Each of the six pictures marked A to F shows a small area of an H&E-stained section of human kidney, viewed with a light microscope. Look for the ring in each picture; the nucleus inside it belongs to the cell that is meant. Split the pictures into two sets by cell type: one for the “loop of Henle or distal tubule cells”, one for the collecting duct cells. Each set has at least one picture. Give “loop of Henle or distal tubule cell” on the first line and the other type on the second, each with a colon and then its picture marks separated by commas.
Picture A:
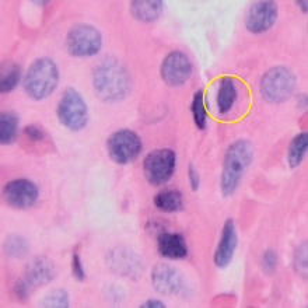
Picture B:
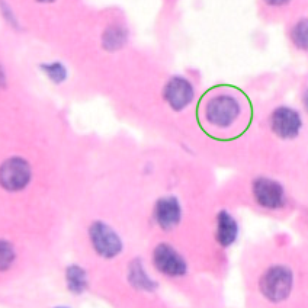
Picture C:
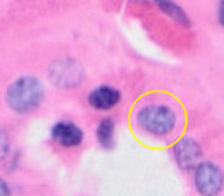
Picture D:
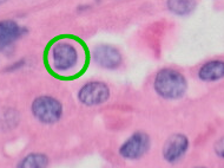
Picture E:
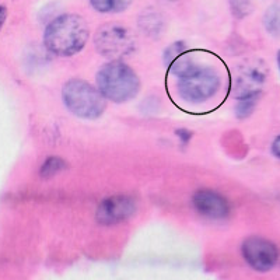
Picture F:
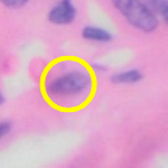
loop of Henle or distal tubule cell: A, B, C, D
collecting duct cell: E, F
